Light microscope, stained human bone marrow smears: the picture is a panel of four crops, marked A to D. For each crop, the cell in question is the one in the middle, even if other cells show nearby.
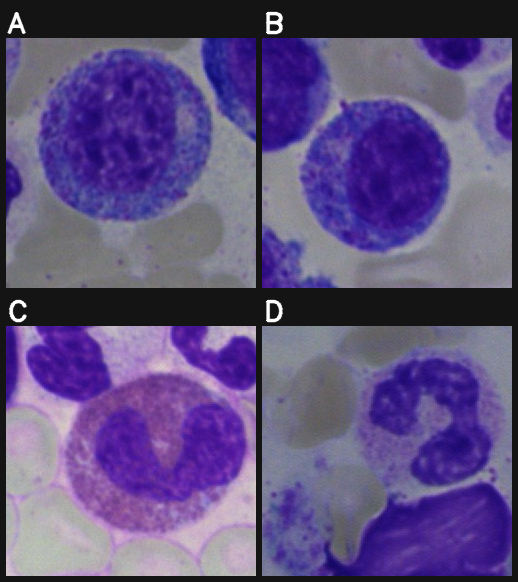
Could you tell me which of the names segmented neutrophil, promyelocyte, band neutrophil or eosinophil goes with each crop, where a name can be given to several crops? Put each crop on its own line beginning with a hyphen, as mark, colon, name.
- A: promyelocyte
- B: promyelocyte
- C: eosinophil
- D: segmented neutrophil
